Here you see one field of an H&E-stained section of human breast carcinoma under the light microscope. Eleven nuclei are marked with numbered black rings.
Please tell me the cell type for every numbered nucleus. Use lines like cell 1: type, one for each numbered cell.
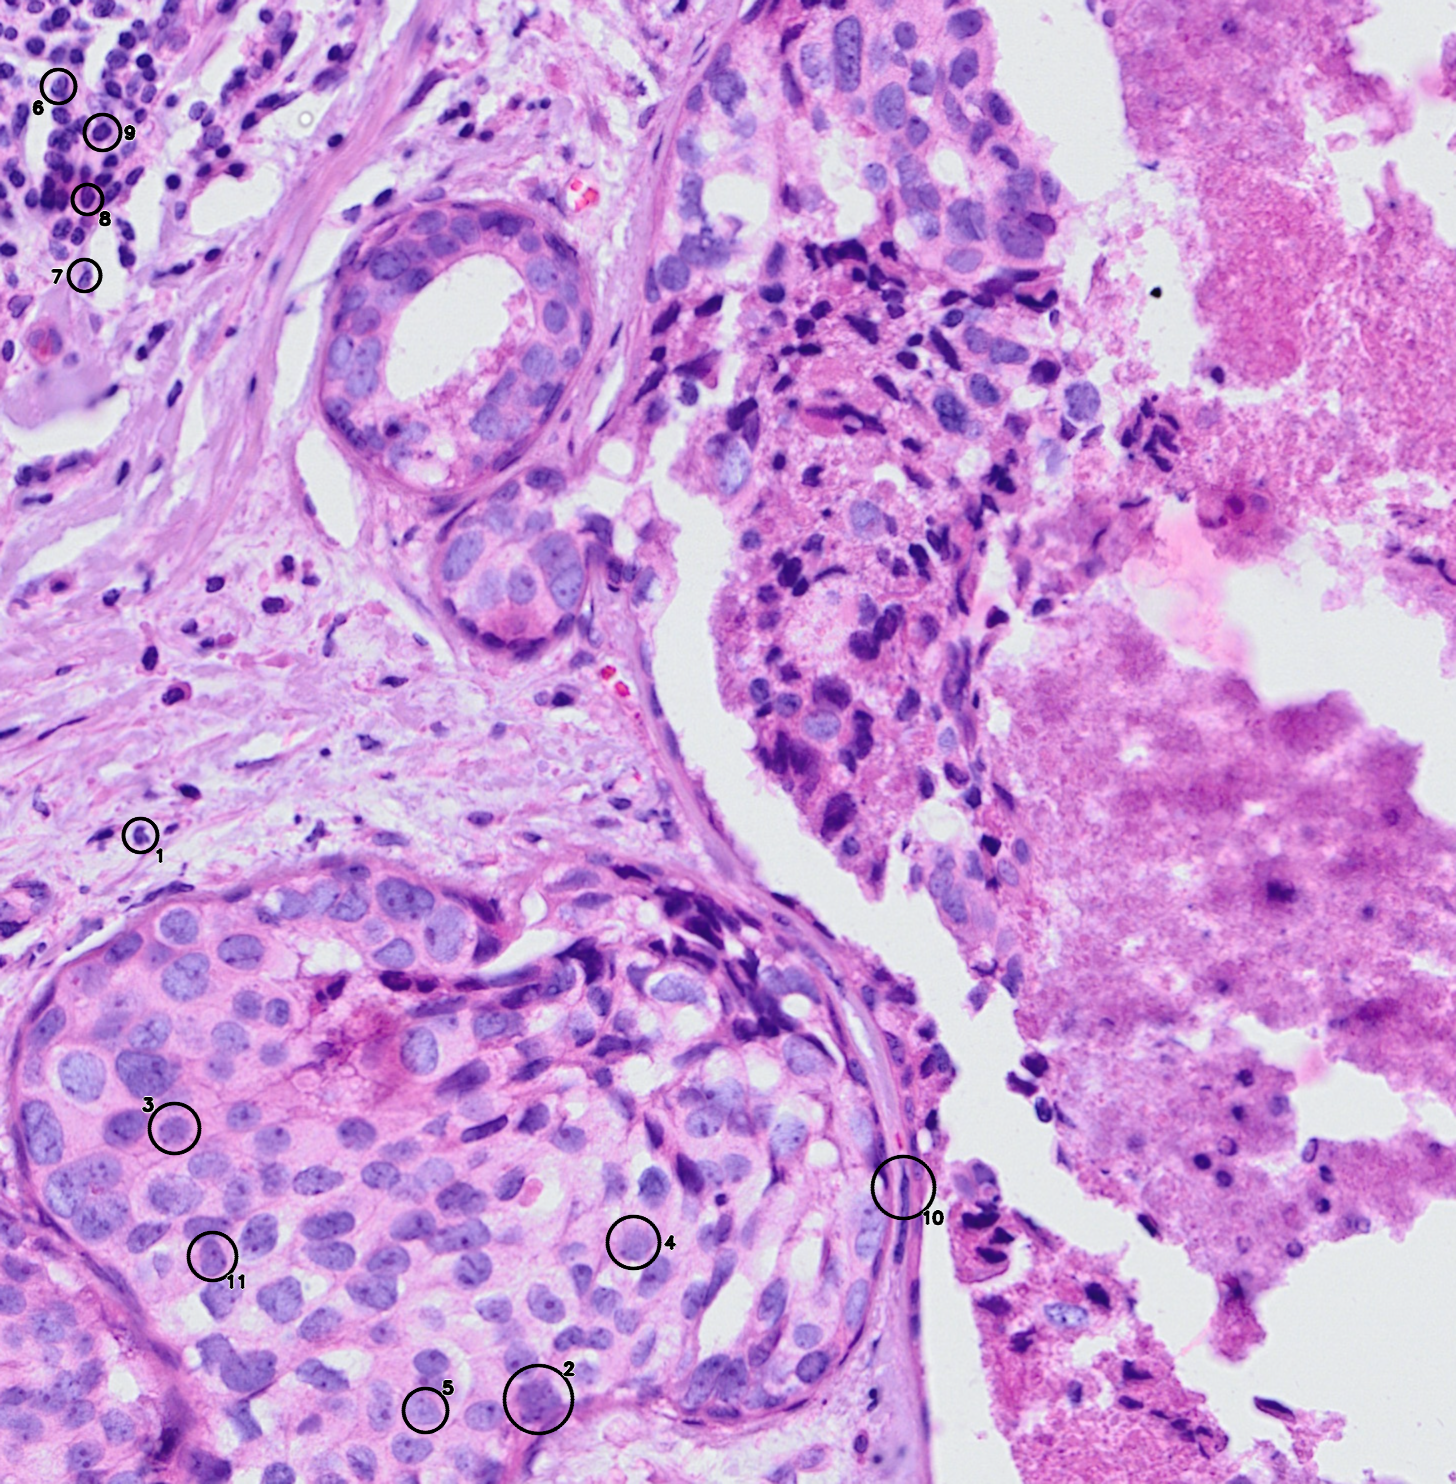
cell 1: lymphocyte
cell 2: carcinoma cell
cell 3: carcinoma cell
cell 4: carcinoma cell
cell 5: carcinoma cell
cell 6: lymphocyte
cell 7: lymphocyte
cell 8: lymphocyte
cell 9: lymphocyte
cell 10: endothelial cell
cell 11: carcinoma cell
